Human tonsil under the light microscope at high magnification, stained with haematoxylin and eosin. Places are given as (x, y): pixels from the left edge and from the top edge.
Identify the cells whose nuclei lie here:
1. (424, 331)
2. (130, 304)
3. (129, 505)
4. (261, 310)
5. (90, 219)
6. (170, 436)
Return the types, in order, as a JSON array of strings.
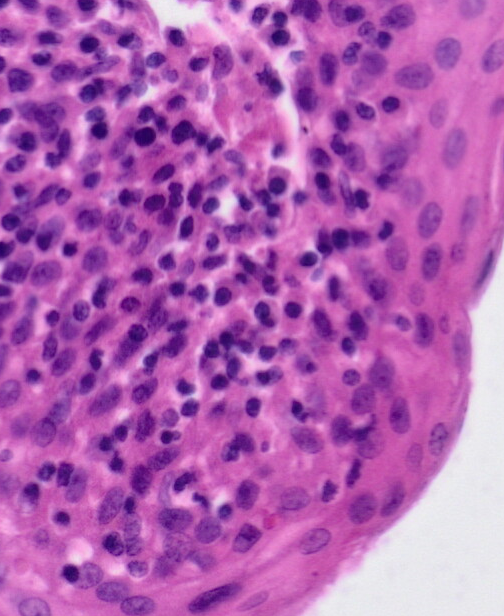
["squamous epithelial cell", "plasma cell", "squamous epithelial cell", "plasma cell", "squamous epithelial cell", "squamous epithelial cell"]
